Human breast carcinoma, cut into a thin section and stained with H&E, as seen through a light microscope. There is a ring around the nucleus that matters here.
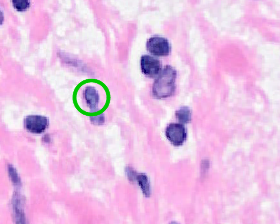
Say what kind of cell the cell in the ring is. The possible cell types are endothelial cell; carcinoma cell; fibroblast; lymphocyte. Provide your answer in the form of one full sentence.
What the cell in the ring represents is a lymphocyte.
